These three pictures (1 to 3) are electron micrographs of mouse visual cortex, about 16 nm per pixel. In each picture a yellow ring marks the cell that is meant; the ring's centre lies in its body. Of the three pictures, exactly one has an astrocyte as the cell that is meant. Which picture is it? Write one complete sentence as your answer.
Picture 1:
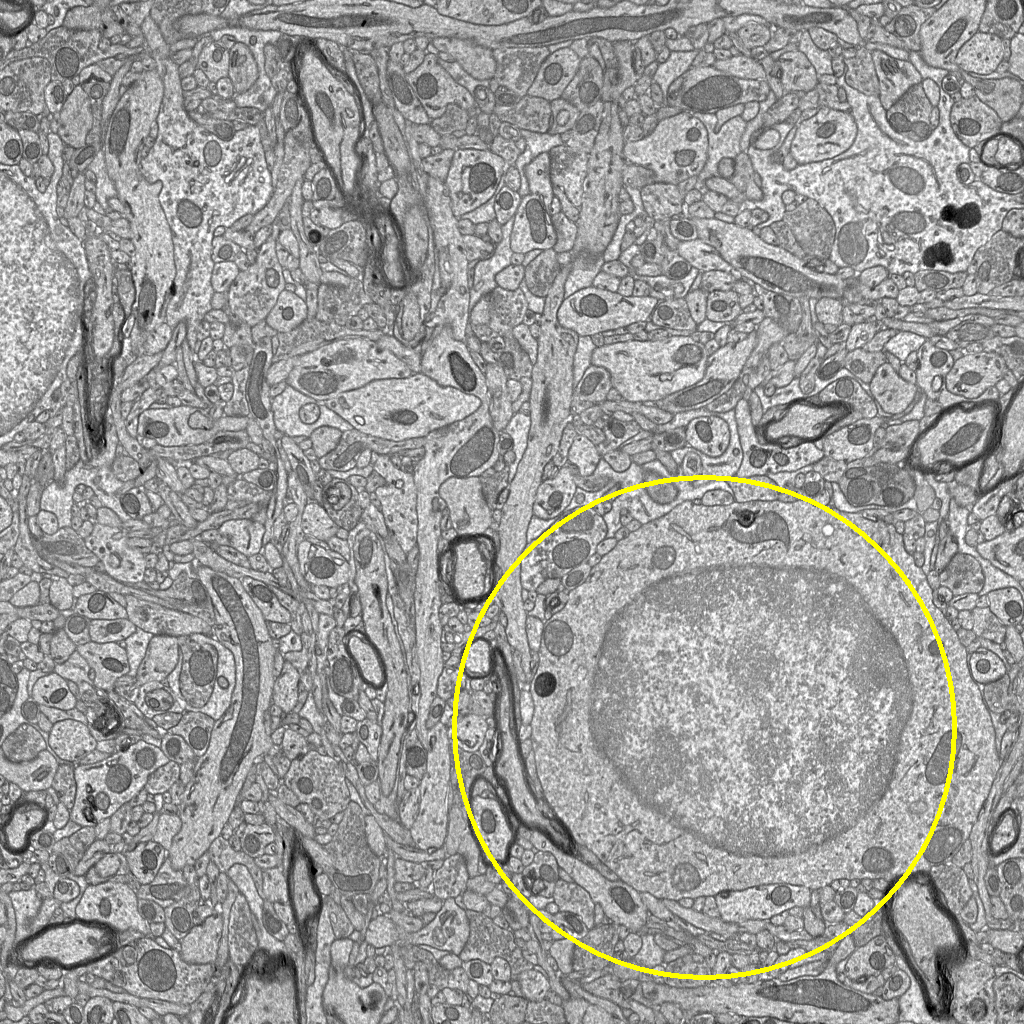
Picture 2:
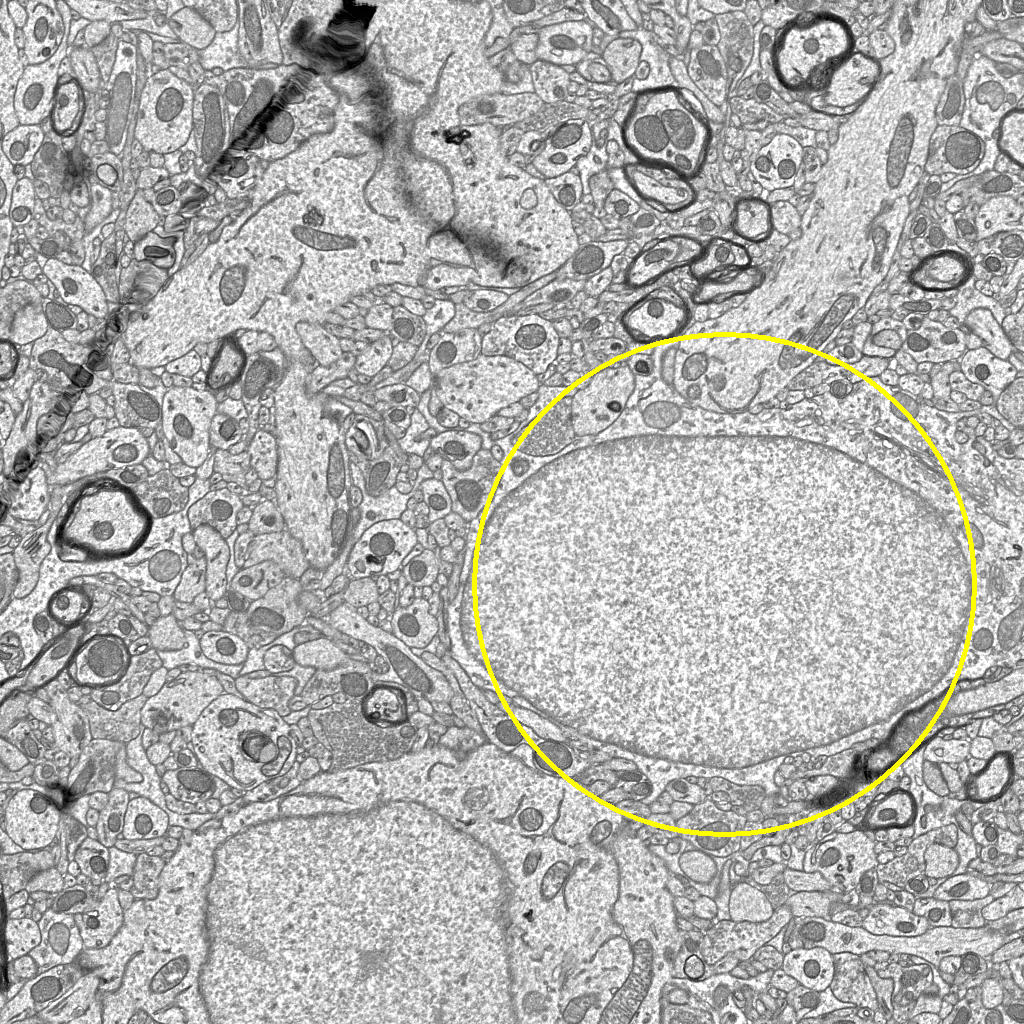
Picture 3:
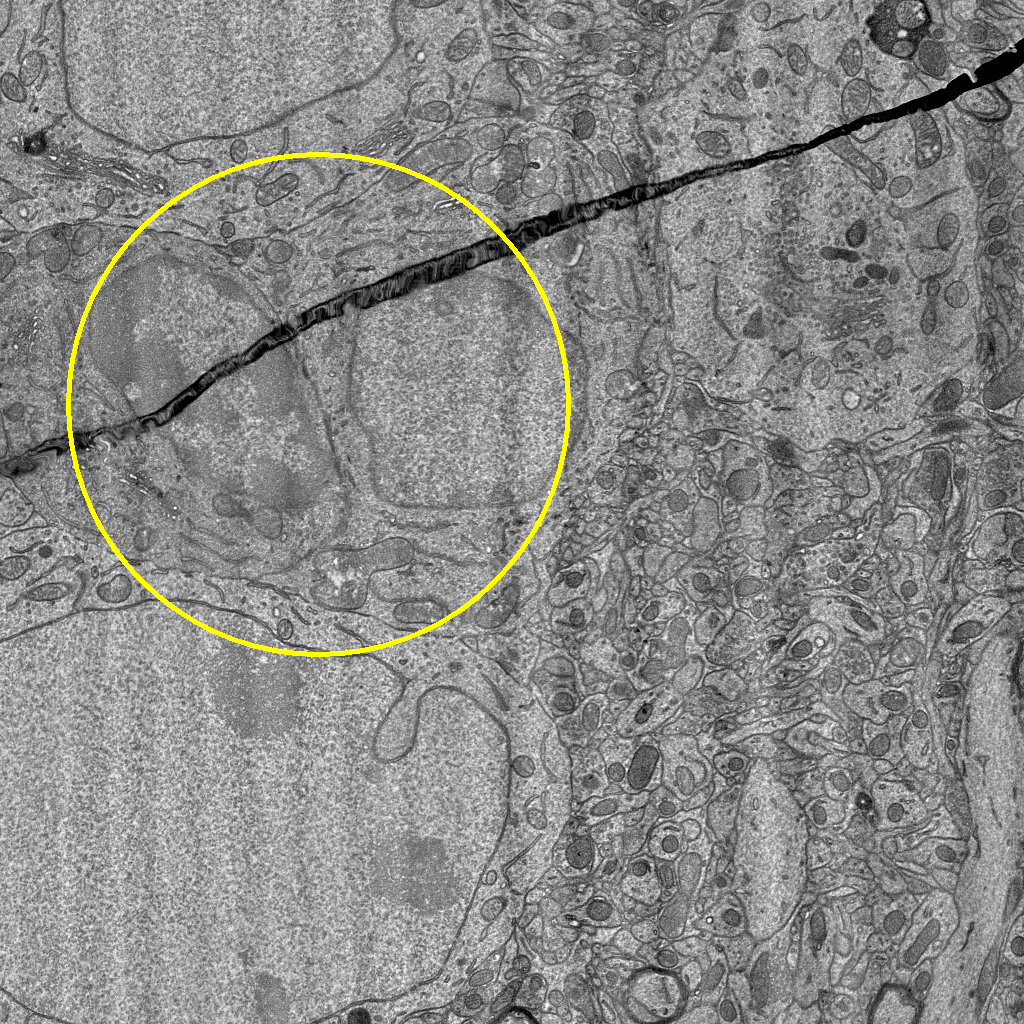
The astrocyte is the one in picture 2.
